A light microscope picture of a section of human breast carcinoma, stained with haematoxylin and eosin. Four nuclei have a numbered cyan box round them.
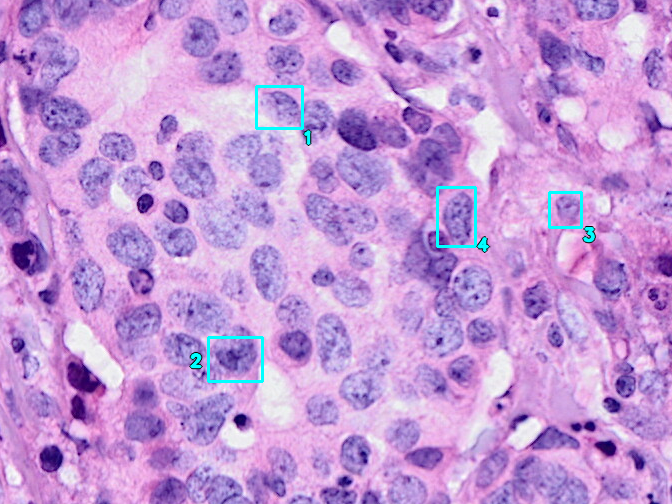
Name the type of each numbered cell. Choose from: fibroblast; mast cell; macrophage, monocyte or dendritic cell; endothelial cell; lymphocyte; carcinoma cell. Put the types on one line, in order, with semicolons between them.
carcinoma cell; carcinoma cell; macrophage, monocyte or dendritic cell; carcinoma cell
